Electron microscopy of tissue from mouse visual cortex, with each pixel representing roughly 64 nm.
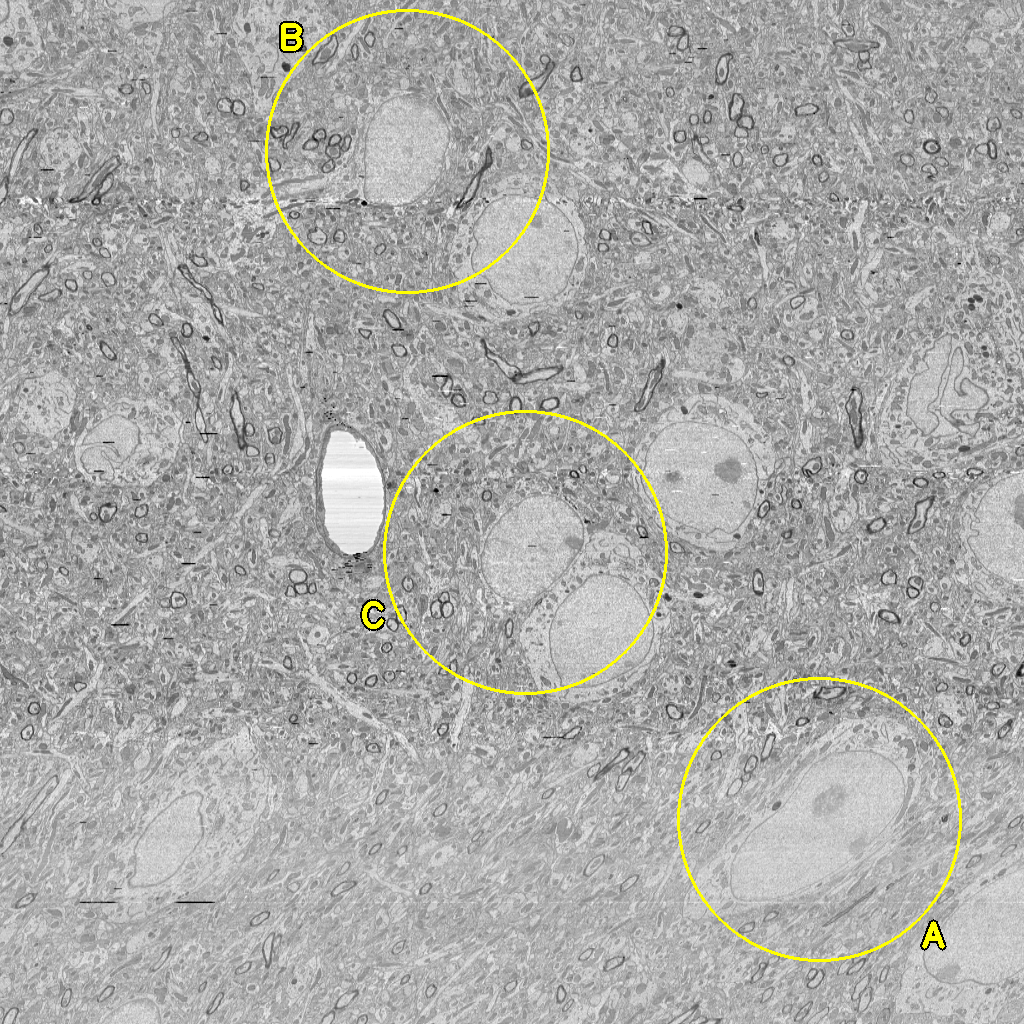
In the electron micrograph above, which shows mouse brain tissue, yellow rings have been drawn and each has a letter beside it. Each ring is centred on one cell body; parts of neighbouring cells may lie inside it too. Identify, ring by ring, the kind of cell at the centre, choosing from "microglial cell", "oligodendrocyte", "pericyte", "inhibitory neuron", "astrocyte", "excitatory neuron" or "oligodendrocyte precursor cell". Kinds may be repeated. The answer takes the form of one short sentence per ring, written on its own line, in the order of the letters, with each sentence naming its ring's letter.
Inside ring A, at its centre, is an excitatory neuron.
Inside ring B, at its centre, is an astrocyte.
Inside ring C, at its centre, is an astrocyte.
